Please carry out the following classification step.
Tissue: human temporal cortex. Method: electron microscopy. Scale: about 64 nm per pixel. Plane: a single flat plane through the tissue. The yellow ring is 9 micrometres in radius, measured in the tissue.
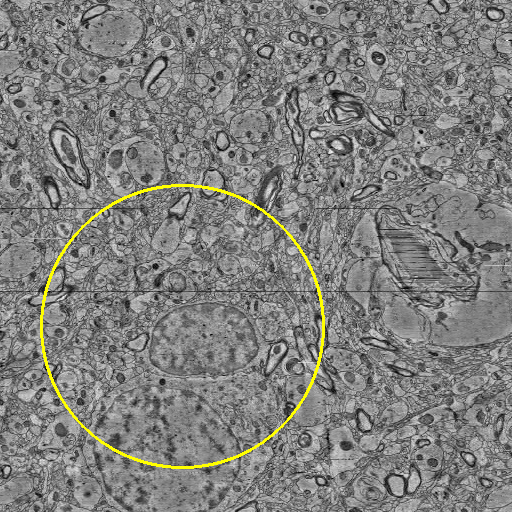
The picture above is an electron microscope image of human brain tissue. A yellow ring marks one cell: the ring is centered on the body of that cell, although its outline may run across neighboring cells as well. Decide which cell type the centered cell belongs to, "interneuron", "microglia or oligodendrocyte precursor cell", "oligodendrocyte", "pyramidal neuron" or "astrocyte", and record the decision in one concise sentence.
The cell centered in the yellow ring is an oligodendrocyte.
